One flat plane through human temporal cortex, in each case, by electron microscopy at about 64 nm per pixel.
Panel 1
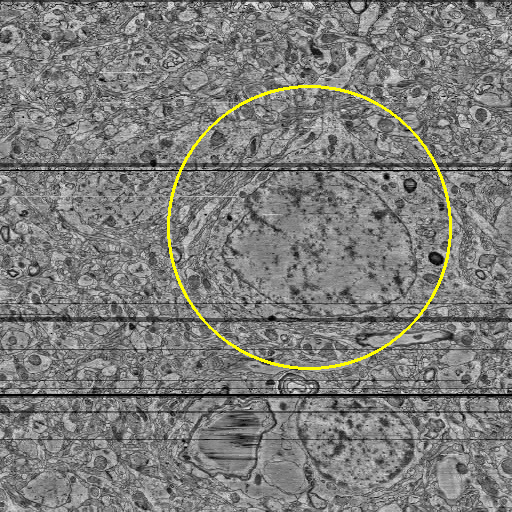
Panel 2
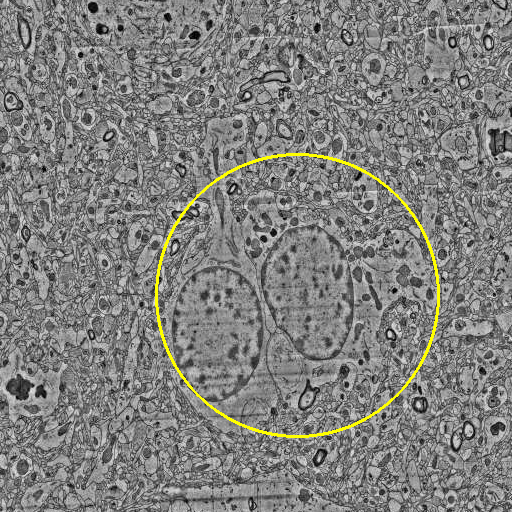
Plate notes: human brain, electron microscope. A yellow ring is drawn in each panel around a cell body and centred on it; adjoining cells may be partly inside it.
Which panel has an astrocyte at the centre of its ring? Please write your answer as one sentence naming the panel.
The ring in Panel 2 is centred on such a cell.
